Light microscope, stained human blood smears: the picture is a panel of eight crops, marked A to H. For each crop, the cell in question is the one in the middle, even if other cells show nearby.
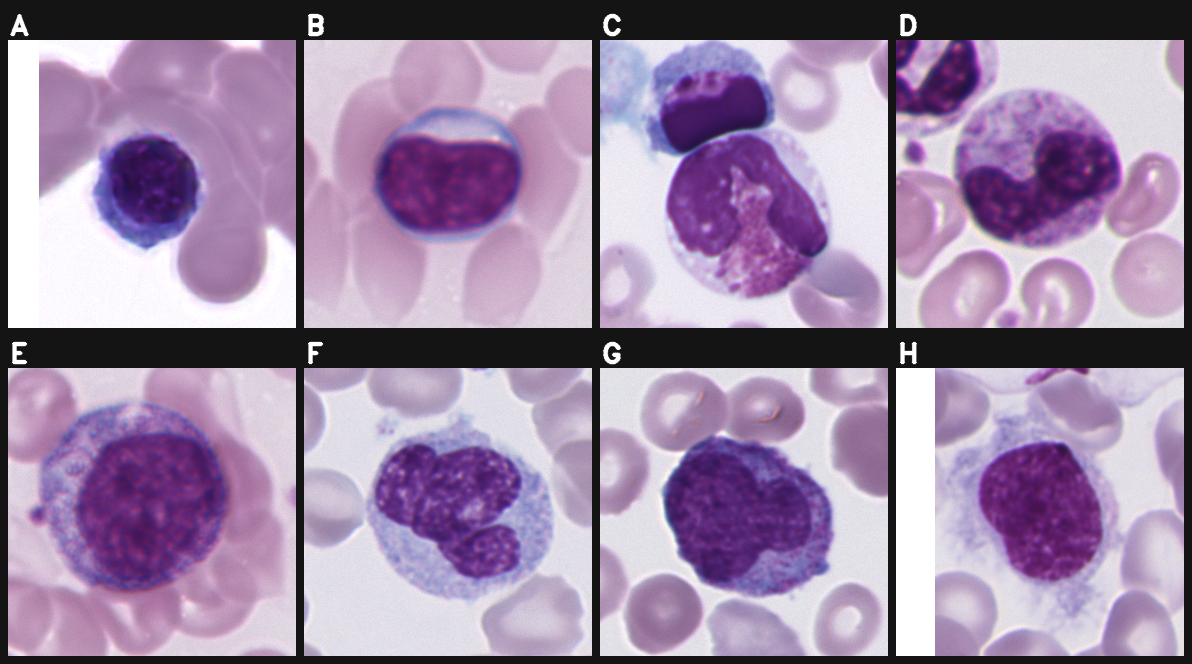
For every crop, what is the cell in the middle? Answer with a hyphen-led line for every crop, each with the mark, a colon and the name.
- A: plasma cell
- B: typical lymphocyte
- C: eosinophil
- D: band neutrophil
- E: promyelocyte
- F: monocyte
- G: atypical promyelocyte
- H: hairy cell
